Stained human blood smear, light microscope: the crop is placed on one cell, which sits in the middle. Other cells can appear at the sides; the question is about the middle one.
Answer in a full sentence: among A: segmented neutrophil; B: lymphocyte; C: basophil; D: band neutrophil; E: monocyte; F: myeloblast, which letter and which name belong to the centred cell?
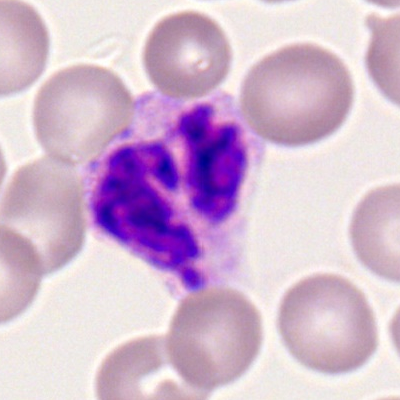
Option C is the right one, for the cell in the middle is a basophil.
